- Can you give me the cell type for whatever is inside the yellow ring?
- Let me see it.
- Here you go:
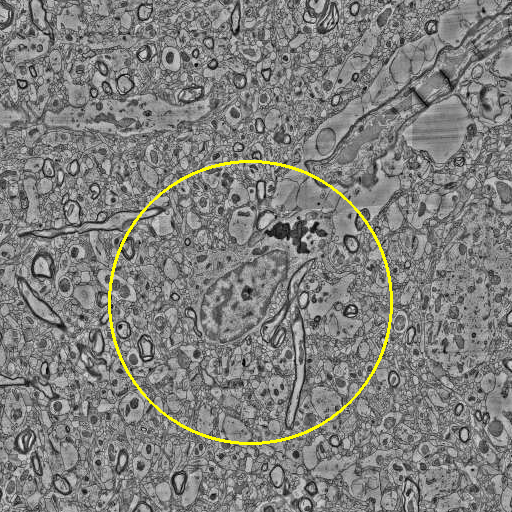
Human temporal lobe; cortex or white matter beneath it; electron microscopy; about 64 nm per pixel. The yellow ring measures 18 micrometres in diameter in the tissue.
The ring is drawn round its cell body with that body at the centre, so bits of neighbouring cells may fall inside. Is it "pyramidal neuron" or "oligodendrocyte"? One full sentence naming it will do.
The cell body in the middle of the ring in this picture belongs to an oligodendrocyte.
